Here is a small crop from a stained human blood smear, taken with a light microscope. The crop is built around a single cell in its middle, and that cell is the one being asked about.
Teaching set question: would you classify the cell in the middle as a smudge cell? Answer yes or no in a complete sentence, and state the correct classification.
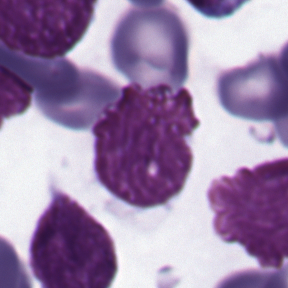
Yes, the cell found at the centre of the crop is a smudge cell.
